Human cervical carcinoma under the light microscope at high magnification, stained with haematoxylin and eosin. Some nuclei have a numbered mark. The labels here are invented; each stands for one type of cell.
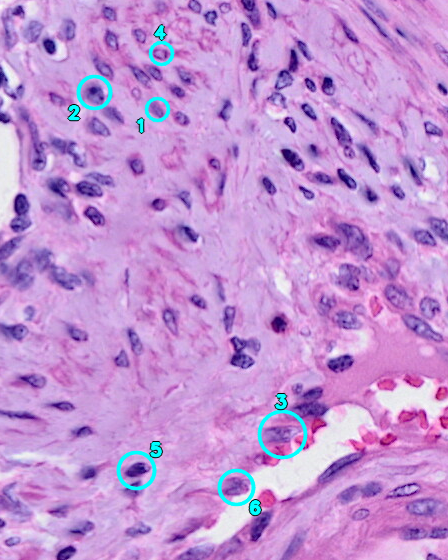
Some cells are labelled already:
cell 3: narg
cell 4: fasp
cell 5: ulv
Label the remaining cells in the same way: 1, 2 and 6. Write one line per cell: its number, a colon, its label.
1: fasp
2: ulv
6: narg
